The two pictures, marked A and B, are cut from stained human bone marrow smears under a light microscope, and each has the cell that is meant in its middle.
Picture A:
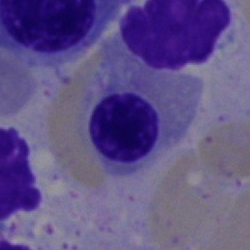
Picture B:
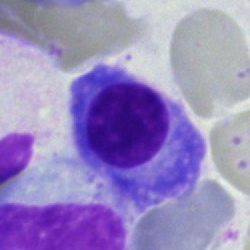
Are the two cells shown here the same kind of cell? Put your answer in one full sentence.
No, picture A shows an erythroblast and picture B shows a plasma cell.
